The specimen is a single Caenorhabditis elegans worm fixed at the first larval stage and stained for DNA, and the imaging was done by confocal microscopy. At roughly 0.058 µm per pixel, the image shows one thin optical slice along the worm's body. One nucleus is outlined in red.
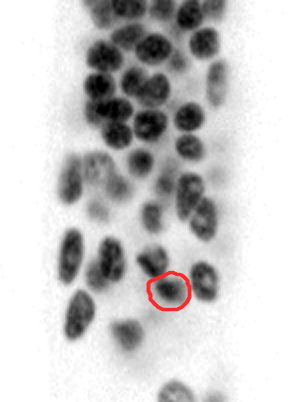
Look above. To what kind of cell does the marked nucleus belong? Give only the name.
pharyngeal gland cell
